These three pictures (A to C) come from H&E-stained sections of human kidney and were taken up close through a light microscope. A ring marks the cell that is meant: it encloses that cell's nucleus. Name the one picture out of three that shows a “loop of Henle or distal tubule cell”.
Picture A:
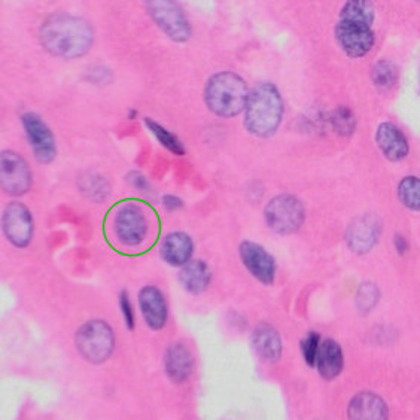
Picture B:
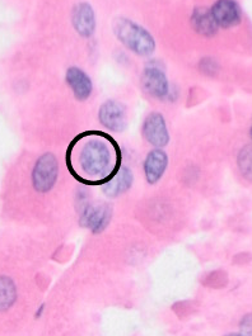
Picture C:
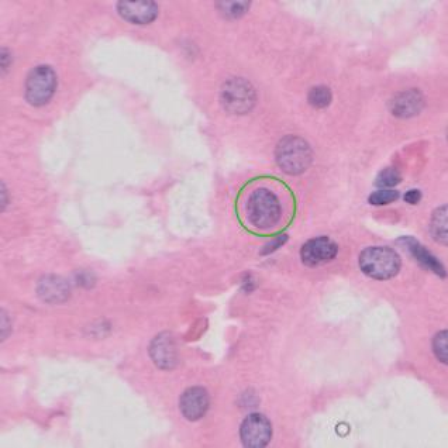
A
